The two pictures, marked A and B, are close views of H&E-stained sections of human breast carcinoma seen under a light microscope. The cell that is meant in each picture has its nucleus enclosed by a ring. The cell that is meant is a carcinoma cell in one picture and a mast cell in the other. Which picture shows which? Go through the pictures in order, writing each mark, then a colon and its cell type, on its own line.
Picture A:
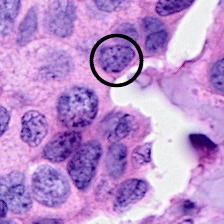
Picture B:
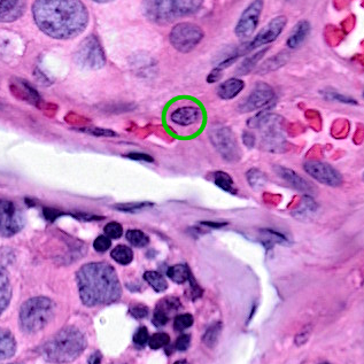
A: carcinoma cell
B: mast cell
